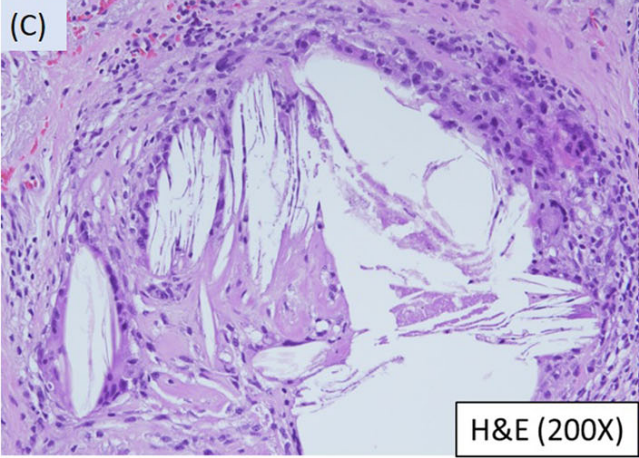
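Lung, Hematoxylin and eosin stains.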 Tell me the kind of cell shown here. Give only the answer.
Multinucleate giant cells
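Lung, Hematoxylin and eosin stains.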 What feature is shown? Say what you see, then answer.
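Cholesterol crystals. Elongated, needle-shaped empty clefts lie within the tissue. The clefts are surrounded by pink fibrous tissue and cells.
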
